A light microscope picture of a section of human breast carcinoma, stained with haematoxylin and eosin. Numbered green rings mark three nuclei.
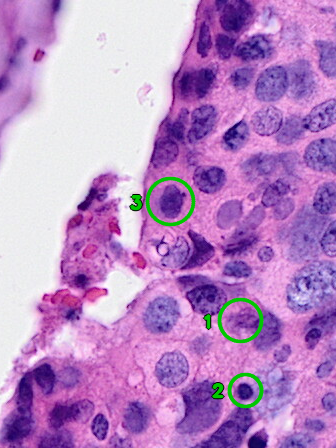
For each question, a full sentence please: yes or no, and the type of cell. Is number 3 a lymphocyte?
No, not a lymphocyte: the cell with number 3 is a carcinoma cell.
